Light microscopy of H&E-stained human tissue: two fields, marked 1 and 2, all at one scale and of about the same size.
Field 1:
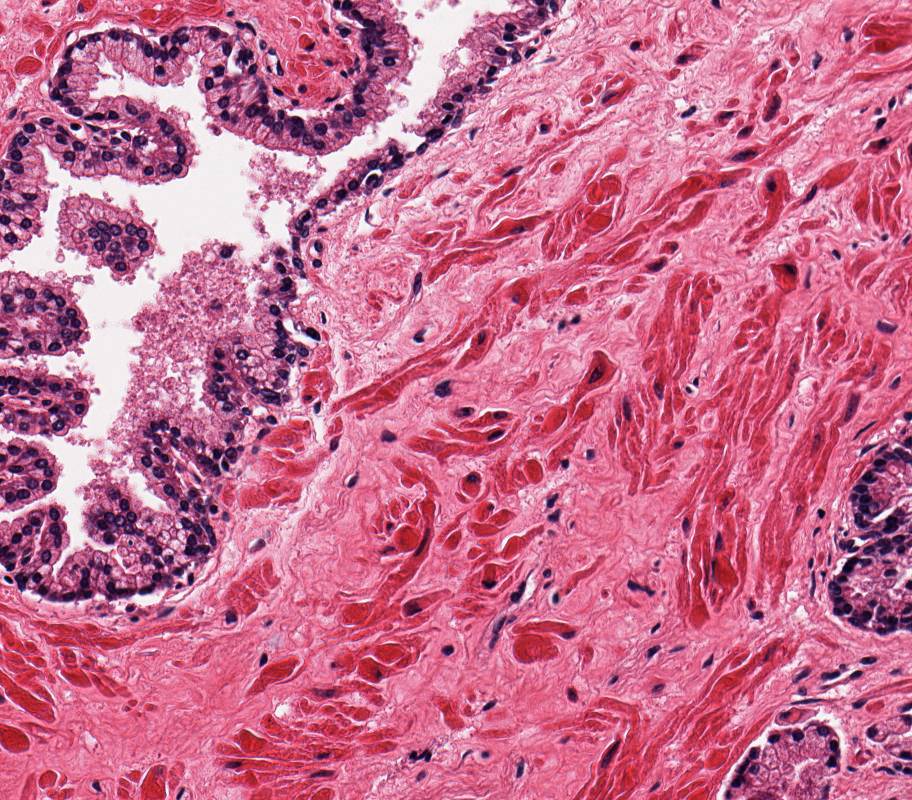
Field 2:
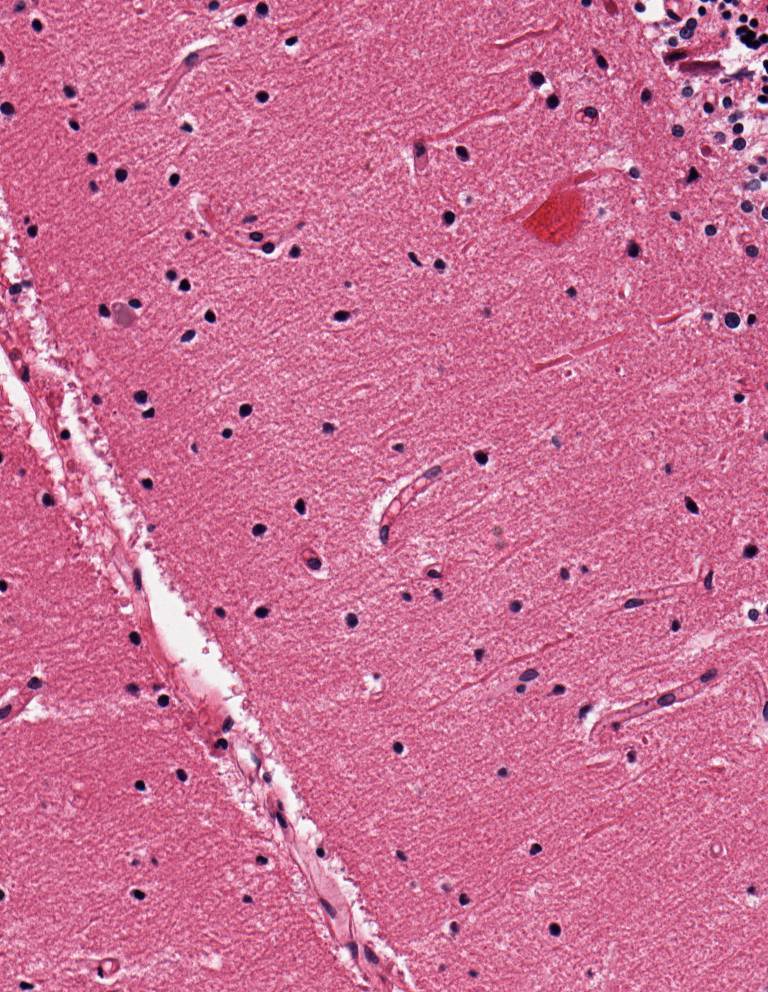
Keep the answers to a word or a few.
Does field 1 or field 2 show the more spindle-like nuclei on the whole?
1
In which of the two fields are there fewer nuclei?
2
